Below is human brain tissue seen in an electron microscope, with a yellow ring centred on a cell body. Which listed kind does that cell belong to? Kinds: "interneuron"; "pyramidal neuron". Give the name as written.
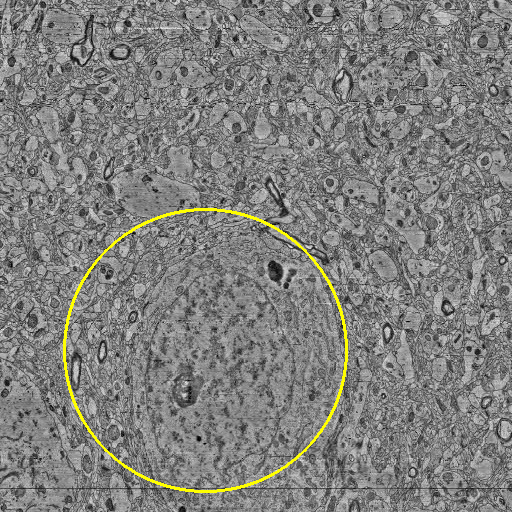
interneuron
